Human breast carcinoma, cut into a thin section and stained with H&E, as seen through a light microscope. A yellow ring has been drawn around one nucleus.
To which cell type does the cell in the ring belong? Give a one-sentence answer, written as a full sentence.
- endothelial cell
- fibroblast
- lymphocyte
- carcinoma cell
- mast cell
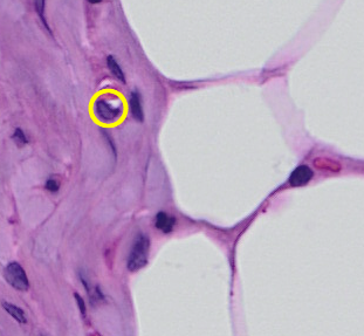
Cytologically, the cell in the ring is to be regarded as an endothelial cell.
